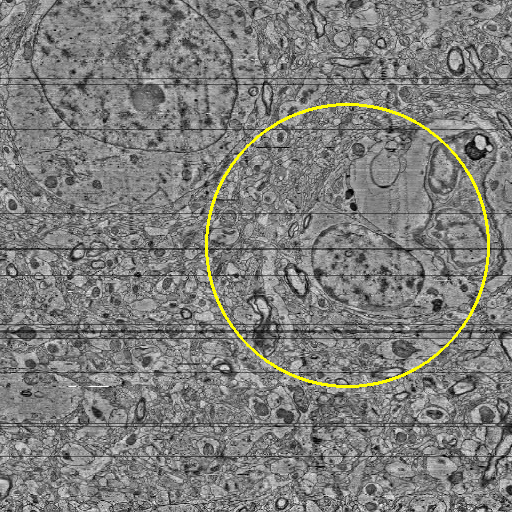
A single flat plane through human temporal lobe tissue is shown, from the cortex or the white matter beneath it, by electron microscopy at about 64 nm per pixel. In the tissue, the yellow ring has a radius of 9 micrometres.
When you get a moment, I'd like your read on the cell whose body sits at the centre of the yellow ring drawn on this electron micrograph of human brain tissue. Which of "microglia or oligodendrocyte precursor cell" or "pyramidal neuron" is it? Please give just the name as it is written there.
microglia or oligodendrocyte precursor cell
